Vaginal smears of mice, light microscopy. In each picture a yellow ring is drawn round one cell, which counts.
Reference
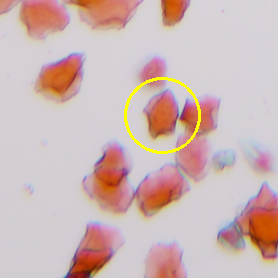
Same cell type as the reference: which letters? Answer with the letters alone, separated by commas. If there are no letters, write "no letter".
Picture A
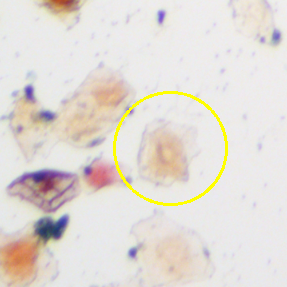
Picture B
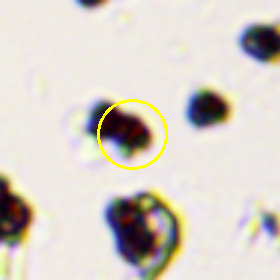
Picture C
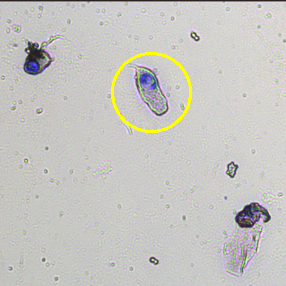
A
